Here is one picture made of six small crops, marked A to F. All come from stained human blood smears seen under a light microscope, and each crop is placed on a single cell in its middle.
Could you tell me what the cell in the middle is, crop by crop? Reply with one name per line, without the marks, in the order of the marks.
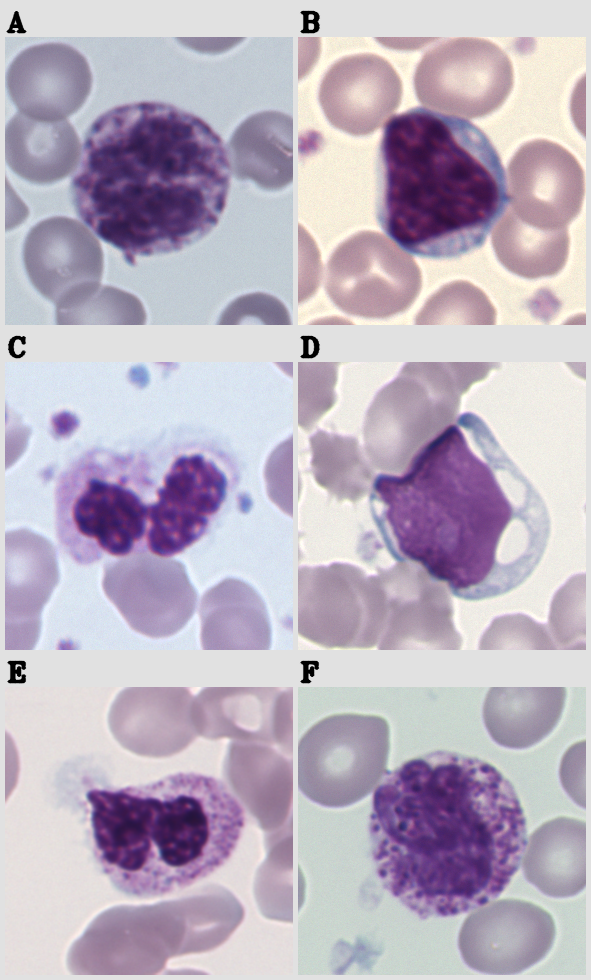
basophil
typical lymphocyte
segmented neutrophil
typical lymphocyte
segmented neutrophil
basophil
